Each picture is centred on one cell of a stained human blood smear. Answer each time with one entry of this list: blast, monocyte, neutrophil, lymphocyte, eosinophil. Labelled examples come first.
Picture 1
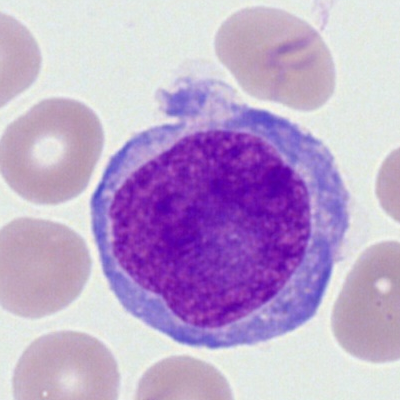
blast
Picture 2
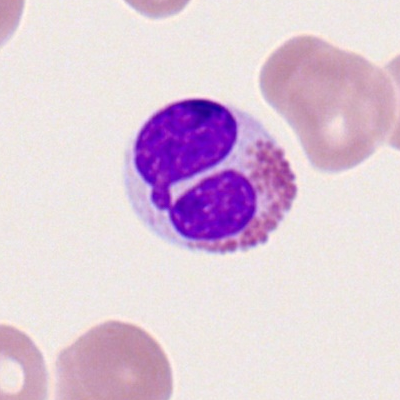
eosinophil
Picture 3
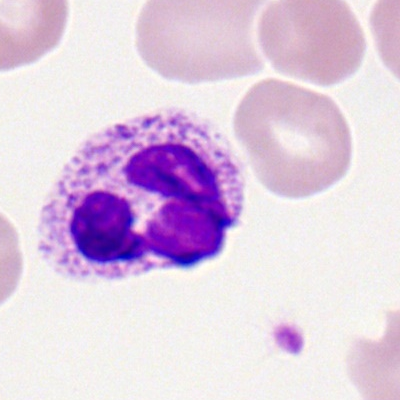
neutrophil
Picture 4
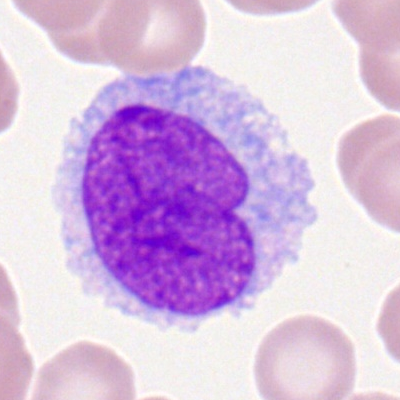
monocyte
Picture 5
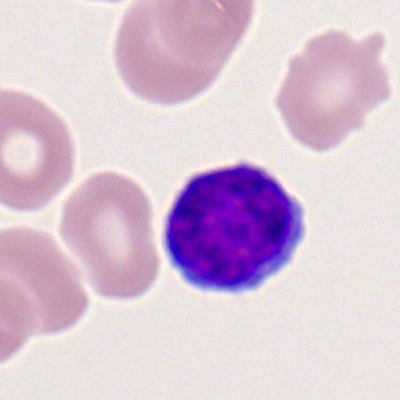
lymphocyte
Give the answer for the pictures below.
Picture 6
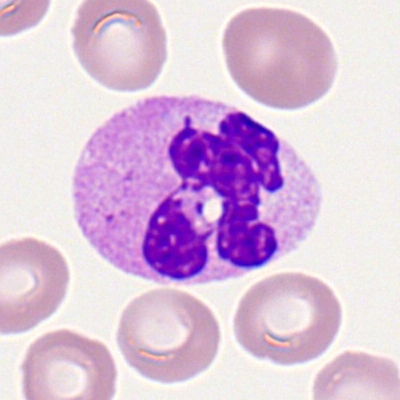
neutrophil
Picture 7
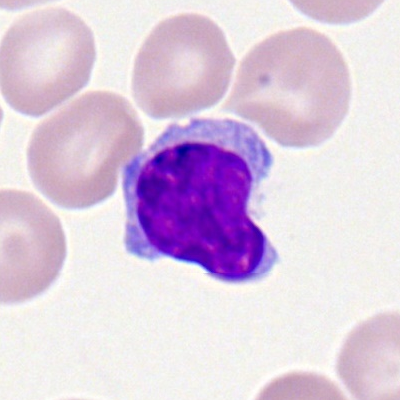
lymphocyte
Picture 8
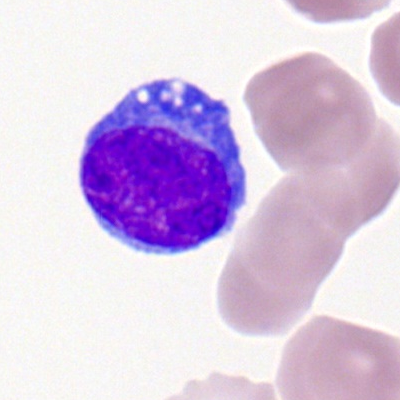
lymphocyte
